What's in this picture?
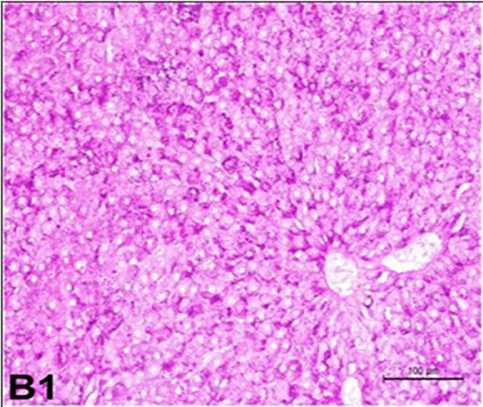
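Liver tissue in which polygonal hepatocytes are arranged in cords that radiate from a central vessel toward the periphery of the field. The hepatocyte cytoplasm stains an intense magenta, with darker granular patches scattered through the cords, while the round nuclei appear as pale, unstained spots in the centre of the cells. The central vessel has an open, empty lumen, and a smaller lumen is seen near the lower edge.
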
